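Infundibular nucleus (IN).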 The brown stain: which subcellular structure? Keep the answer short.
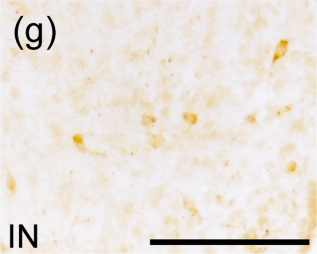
Perikarya.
